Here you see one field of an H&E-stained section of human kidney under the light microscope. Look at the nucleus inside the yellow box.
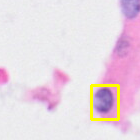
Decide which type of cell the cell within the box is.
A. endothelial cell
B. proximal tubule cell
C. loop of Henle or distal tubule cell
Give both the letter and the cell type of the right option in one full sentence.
It is correct to say that the cell within the box is a loop of Henle or distal tubule cell, as option C does.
